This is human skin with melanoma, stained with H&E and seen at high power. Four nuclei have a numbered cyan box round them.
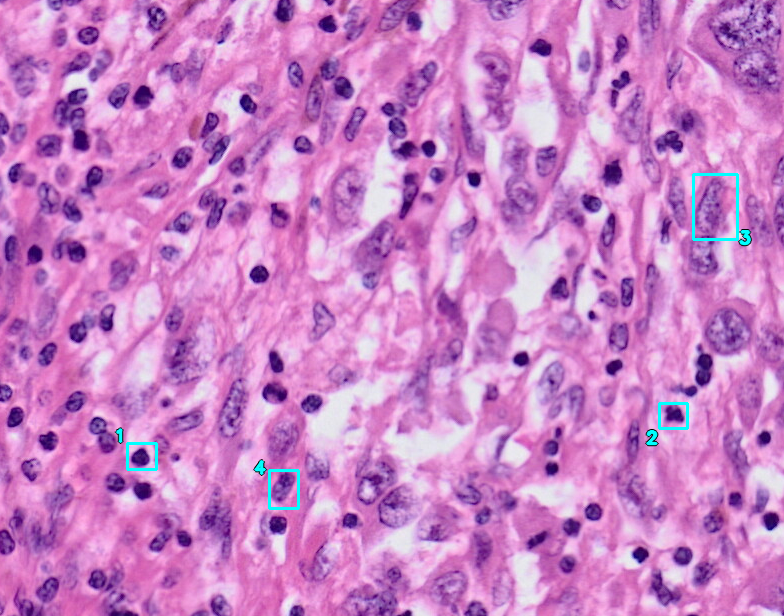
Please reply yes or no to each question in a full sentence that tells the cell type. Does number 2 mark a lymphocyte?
Yes, that is right: the cell labelled 2 is a lymphocyte.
